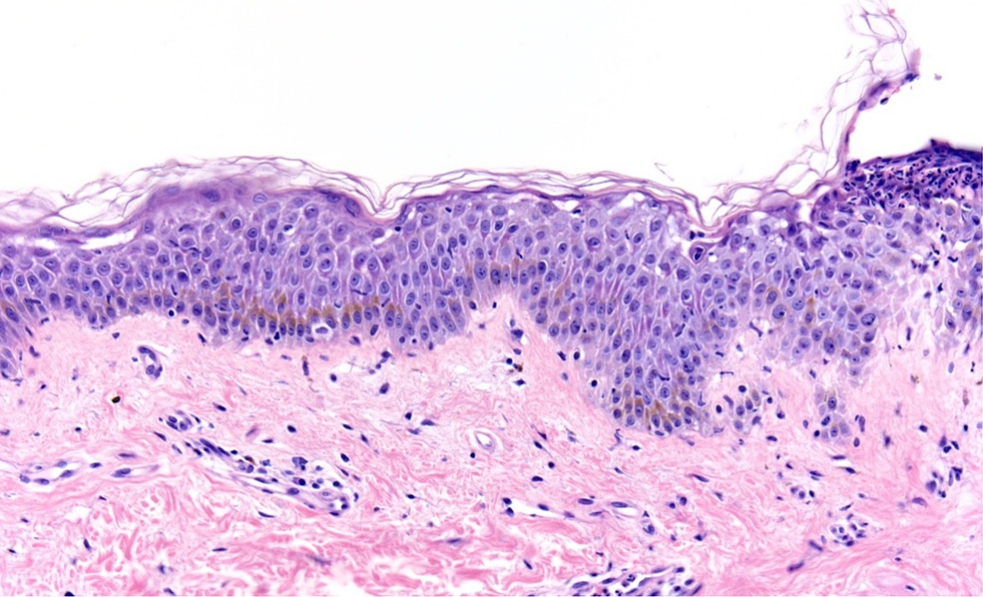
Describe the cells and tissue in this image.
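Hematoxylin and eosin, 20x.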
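This is skin, with an epidermis of keratinocytes under a loose, basket-weave stratum corneum and a superficial dermis below. At the right, the stratum corneum is lifted off, and a dense collection of small, dark, irregular nuclei lies just beneath it. In the upper dermis, pink collagen holds a few small vessels, around which small round dark nuclei gather in sparse clusters.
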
